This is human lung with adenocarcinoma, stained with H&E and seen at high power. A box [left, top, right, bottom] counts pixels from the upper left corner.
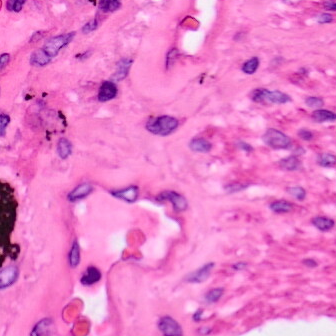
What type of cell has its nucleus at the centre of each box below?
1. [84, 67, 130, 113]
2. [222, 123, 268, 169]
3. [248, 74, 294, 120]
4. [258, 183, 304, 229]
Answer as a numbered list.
1. plasma cell
2. smooth muscle cell or pericyte
3. smooth muscle cell or pericyte
4. smooth muscle cell or pericyte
